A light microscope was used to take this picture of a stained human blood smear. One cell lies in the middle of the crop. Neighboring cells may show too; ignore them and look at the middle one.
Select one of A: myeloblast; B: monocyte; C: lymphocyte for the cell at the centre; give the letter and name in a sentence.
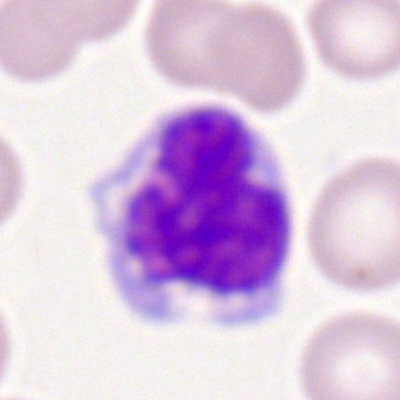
The centrally positioned cell is a monocyte, consistent with option B, which is correct.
